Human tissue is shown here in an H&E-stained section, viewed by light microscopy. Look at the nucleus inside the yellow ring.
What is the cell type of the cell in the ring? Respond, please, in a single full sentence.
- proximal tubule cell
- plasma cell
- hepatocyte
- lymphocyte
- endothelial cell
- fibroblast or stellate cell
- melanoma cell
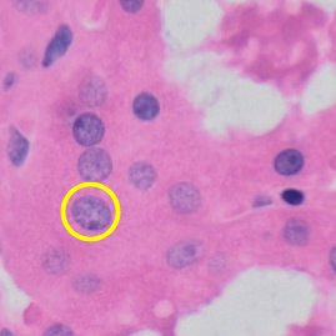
The category to which the cell in the ring belongs is that of a proximal tubule cell.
